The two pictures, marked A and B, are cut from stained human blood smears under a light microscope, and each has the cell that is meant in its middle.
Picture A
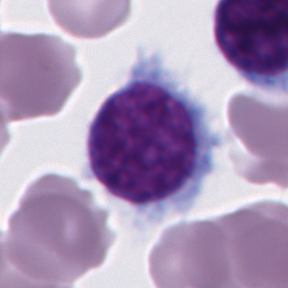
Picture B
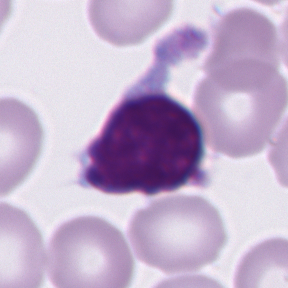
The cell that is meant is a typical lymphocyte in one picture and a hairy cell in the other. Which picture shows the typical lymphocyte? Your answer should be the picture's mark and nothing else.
B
